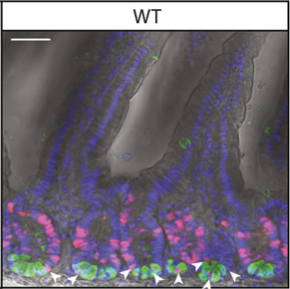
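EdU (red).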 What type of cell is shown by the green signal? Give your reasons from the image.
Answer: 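Green granular cells sit in clusters at the very bottom of the crypts. They lie below the band of red-nucleated cells.
Paneth cells.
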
